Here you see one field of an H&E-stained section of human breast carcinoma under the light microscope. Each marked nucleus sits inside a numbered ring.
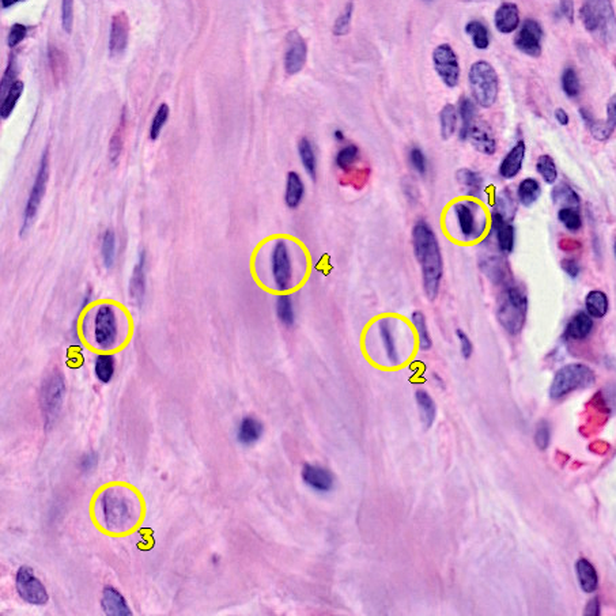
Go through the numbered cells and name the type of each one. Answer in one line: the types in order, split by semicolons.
lymphocyte; fibroblast; fibroblast; lymphocyte; mast cell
